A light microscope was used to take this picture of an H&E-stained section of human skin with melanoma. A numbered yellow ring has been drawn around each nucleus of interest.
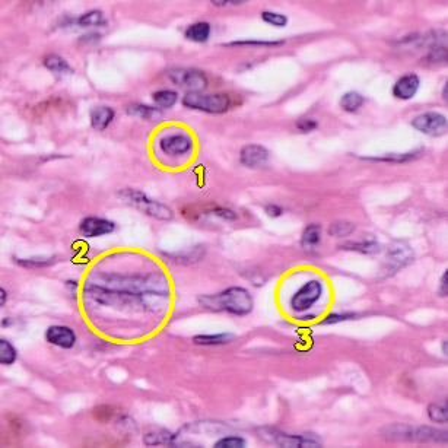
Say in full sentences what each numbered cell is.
Cells 1 and 3 are lymphocytes. Cell 2 is an endothelial cell.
